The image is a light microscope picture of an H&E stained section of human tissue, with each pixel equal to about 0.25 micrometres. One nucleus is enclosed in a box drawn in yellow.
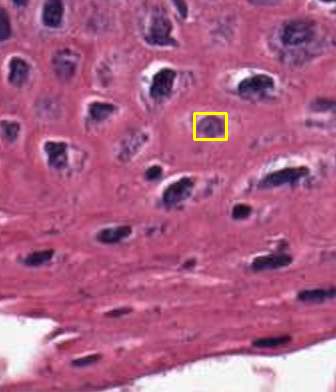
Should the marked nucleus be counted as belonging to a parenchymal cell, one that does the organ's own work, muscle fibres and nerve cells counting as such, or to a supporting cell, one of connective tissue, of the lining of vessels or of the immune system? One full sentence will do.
The marked nucleus is the nucleus of a squamous epithelial cell, a cell of the parenchyma.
